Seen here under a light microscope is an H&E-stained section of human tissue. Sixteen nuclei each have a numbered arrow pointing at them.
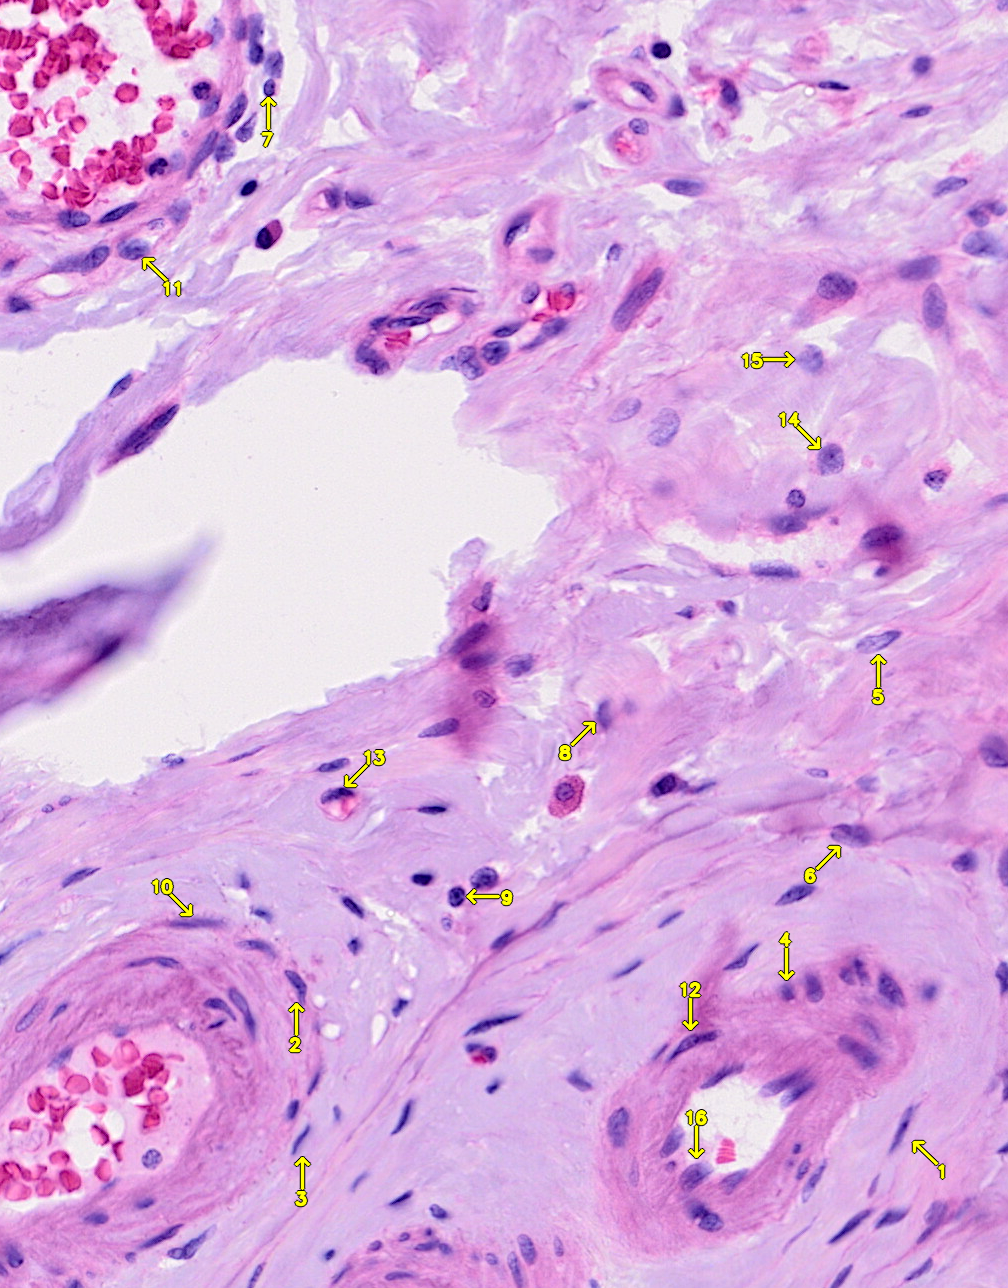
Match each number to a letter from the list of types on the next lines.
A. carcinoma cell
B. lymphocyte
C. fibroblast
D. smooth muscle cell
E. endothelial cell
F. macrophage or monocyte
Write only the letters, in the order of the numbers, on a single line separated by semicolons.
C; D; C; D; C; C; B; C; B; D; E; D; E; C; C; E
